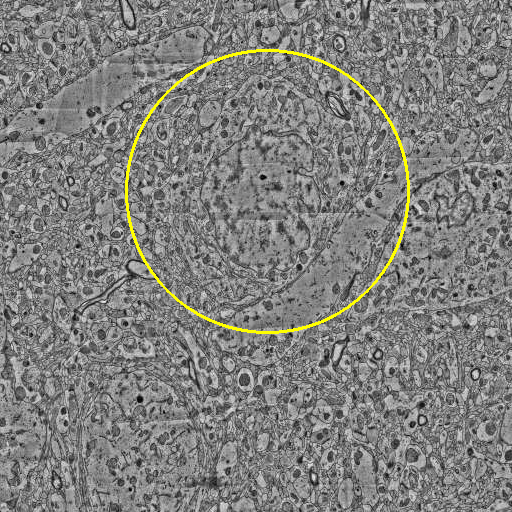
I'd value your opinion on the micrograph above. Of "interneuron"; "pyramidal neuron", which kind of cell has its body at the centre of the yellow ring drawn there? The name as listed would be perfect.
interneuron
